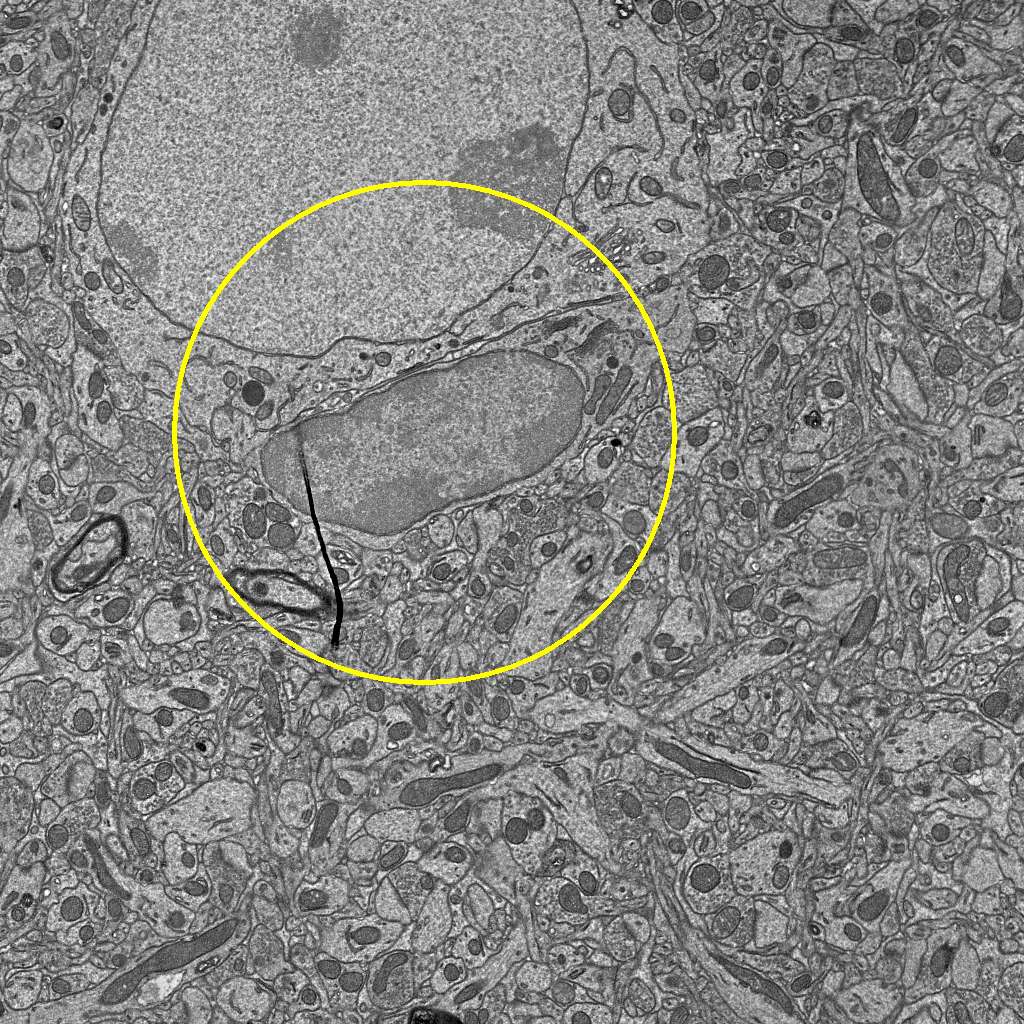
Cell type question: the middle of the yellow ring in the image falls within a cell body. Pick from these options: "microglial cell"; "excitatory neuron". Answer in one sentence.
The cell body at the center of the ring belongs to a microglial cell.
